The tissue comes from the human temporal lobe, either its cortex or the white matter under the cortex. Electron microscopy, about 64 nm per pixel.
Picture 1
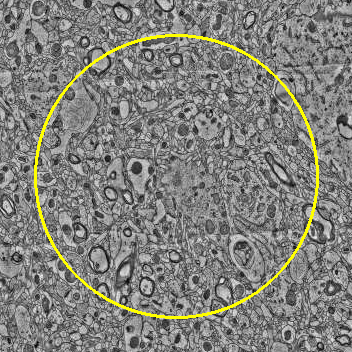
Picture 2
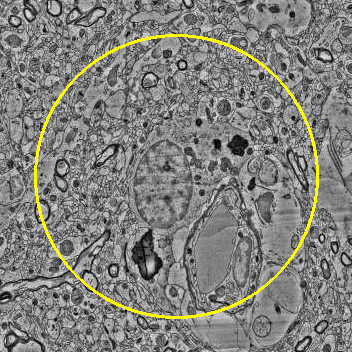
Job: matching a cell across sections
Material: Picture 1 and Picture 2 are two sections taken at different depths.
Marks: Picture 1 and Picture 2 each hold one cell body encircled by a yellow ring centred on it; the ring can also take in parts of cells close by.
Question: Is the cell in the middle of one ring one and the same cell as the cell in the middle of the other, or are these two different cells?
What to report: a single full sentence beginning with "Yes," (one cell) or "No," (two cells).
No, the two rings are not on the same cell.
